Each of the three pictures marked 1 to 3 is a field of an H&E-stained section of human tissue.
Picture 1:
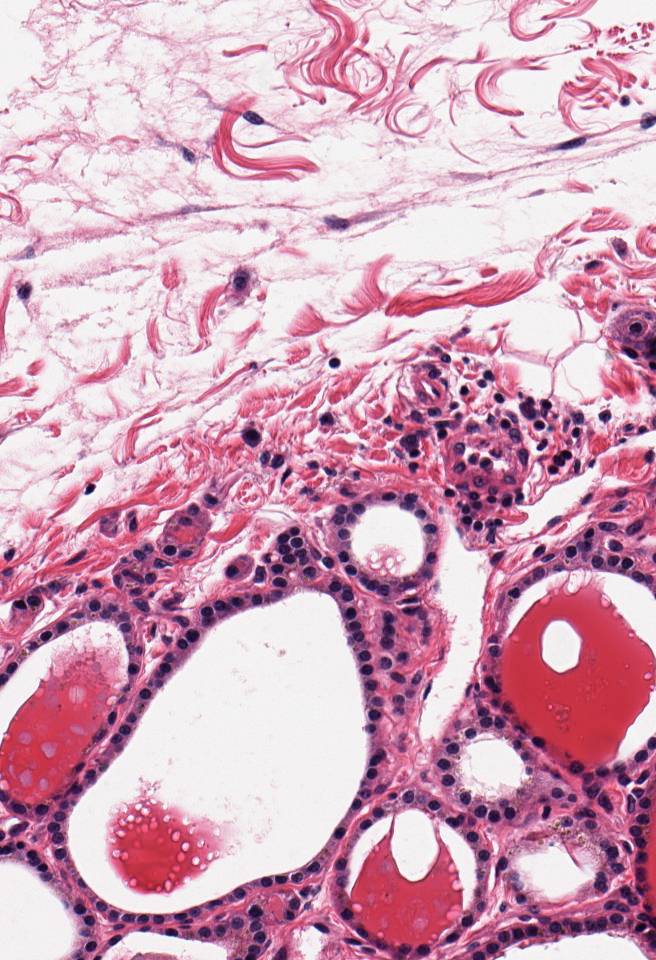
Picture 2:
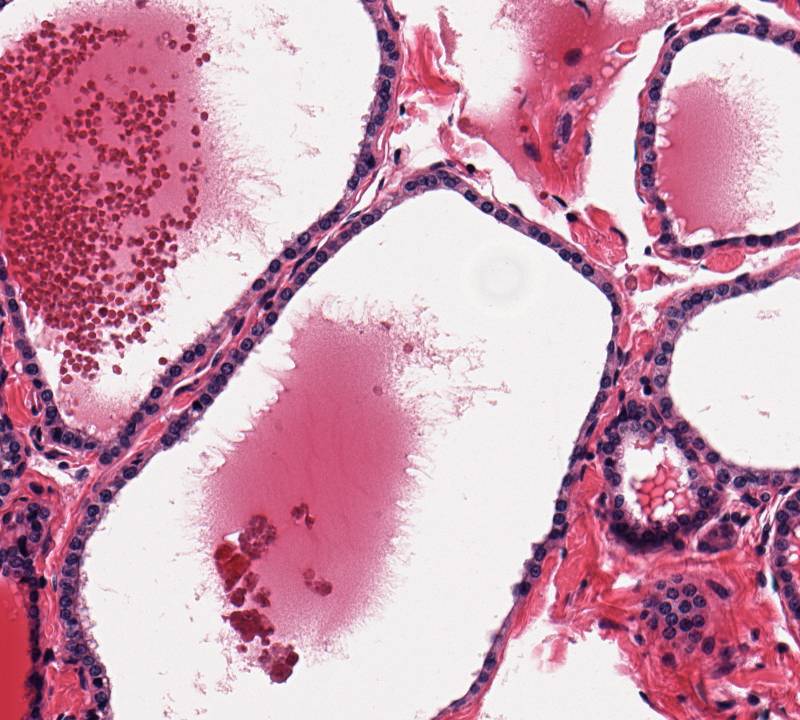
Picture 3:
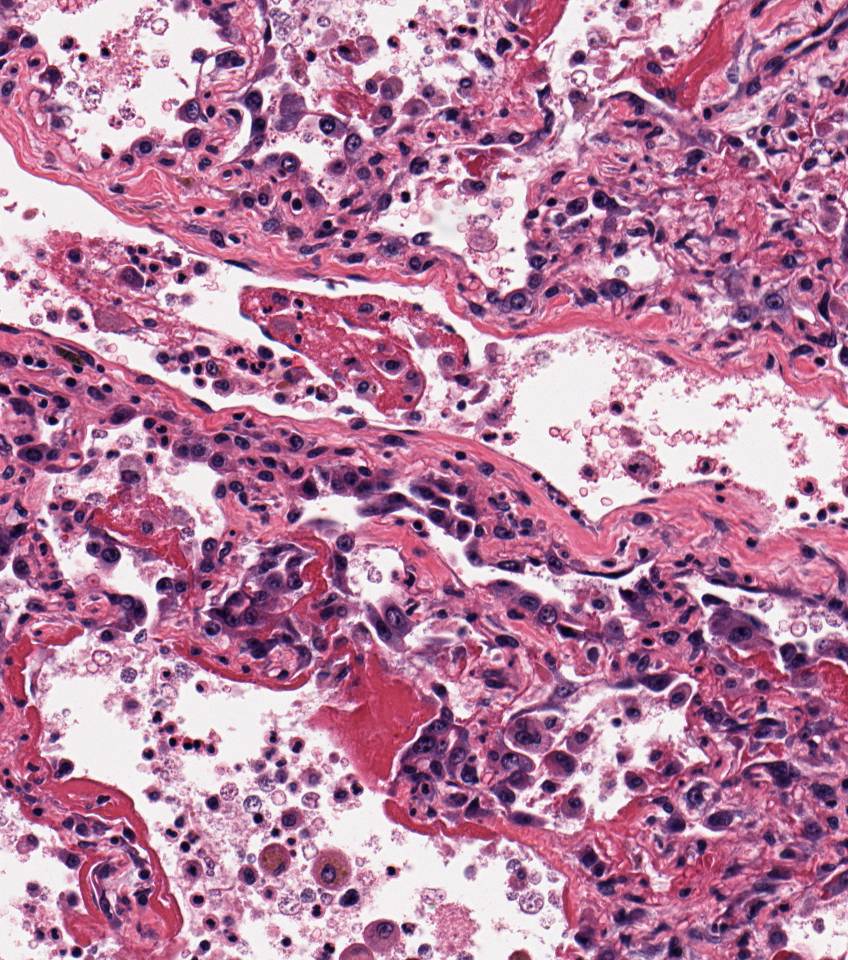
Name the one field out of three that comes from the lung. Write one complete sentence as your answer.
It is picture 3 that comes from the lung.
